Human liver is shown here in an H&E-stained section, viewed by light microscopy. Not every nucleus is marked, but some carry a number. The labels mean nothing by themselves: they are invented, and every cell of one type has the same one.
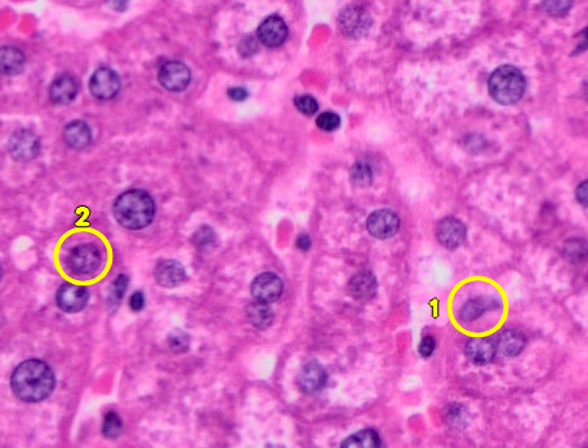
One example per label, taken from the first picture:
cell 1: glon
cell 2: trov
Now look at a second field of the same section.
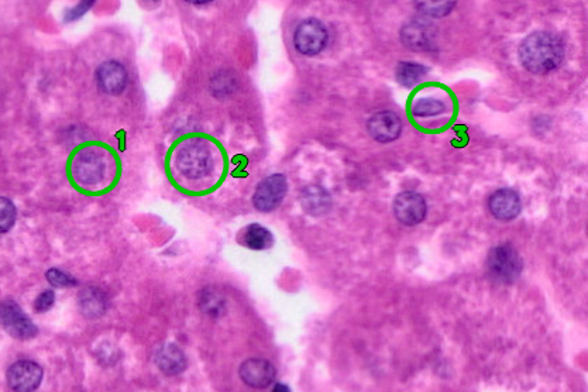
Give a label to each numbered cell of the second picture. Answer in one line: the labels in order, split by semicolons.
trov; trov; glon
